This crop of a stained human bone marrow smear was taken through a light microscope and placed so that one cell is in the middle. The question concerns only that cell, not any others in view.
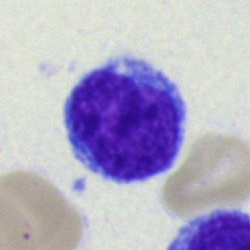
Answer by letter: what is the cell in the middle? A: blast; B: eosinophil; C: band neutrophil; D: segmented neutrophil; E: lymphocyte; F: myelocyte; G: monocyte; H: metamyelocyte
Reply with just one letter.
A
